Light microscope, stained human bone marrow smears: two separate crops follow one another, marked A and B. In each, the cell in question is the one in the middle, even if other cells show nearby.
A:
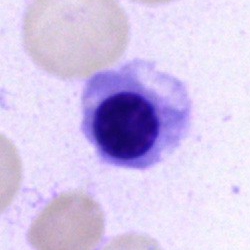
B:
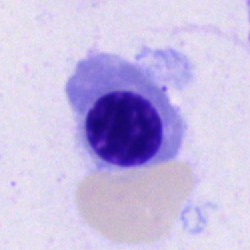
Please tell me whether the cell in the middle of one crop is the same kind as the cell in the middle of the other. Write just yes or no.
yes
